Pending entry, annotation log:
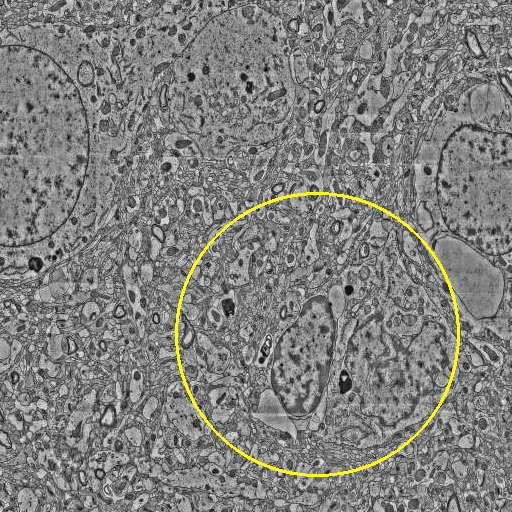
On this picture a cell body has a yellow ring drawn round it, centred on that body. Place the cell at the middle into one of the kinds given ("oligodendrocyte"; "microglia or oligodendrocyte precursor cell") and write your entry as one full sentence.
The cell body at the middle of the yellow ring belongs to a microglial cell or oligodendrocyte precursor cell.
